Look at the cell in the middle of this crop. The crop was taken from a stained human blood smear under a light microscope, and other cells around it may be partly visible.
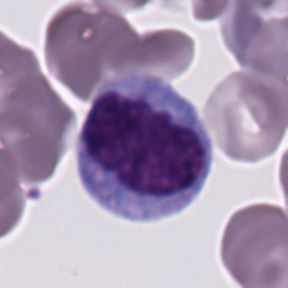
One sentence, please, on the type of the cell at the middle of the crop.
In the crop, the cell of interest at the centre is a monocyte.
